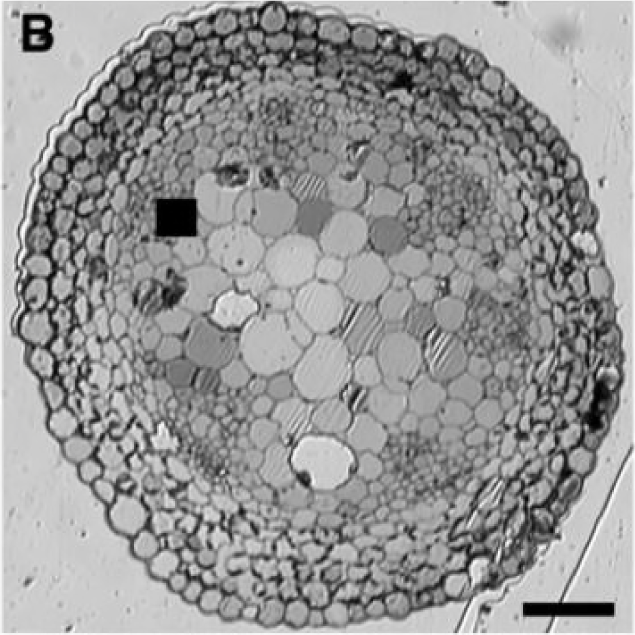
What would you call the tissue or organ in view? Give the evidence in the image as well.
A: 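Stem. A round cross-section with a ring of small outer cells. Larger rounded cells fill the centre.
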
